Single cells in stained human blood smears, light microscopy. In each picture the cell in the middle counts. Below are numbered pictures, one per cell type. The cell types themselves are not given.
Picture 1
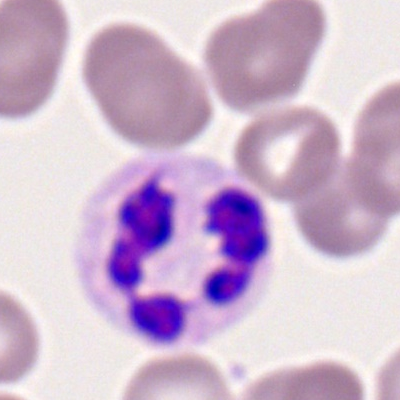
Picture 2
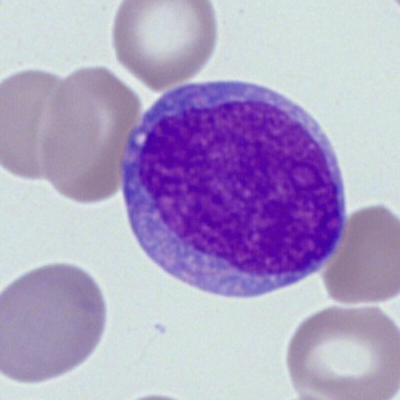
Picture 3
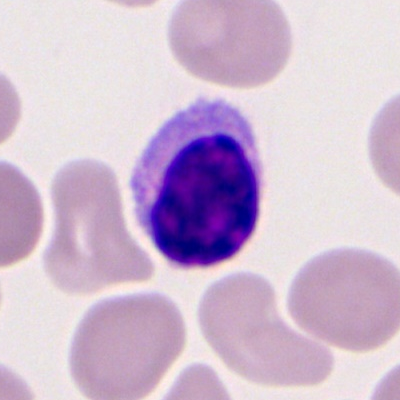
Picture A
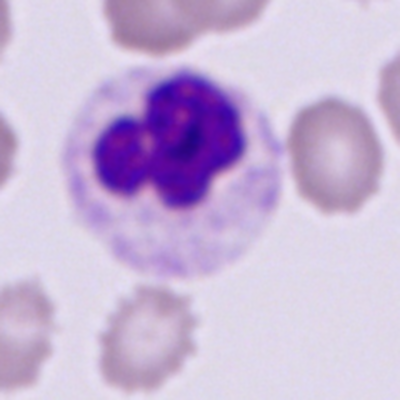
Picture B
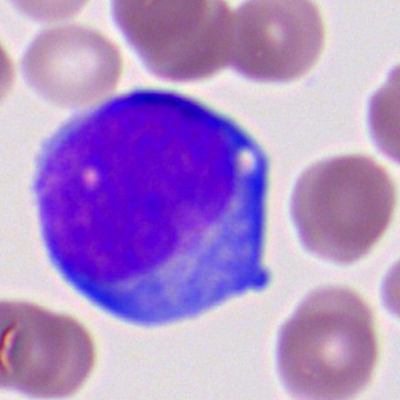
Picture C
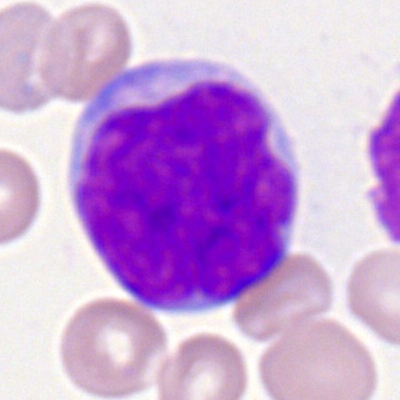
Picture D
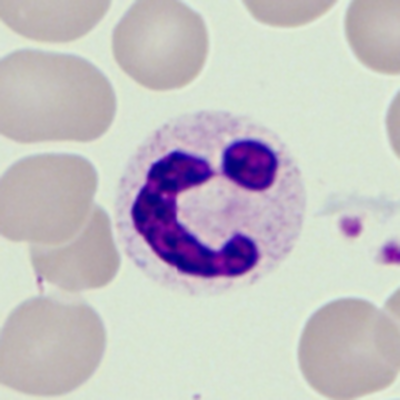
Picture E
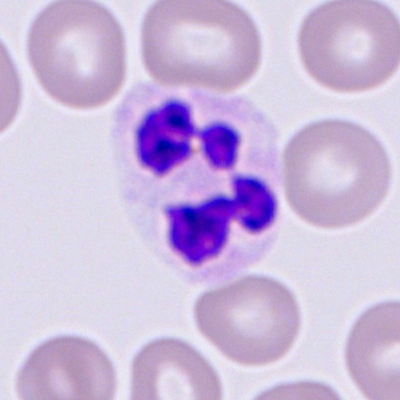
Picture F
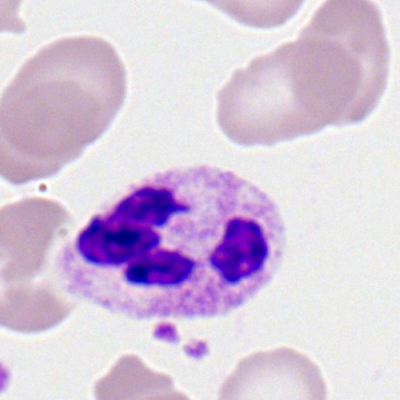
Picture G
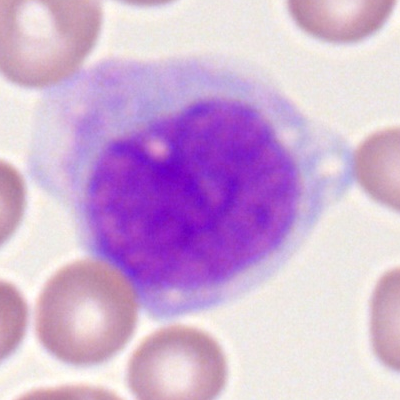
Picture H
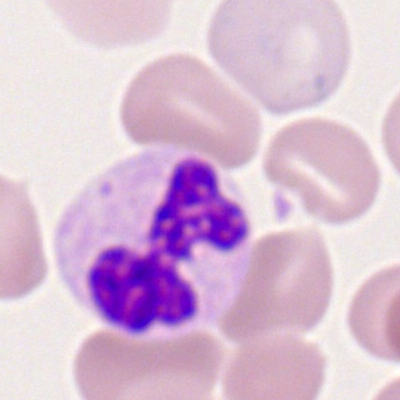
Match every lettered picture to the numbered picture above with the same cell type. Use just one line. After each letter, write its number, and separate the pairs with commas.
A 1, B 2, C 2, D 1, E 1, F 1, G 2, H 1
